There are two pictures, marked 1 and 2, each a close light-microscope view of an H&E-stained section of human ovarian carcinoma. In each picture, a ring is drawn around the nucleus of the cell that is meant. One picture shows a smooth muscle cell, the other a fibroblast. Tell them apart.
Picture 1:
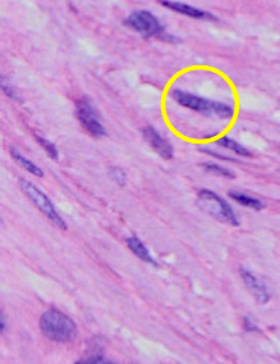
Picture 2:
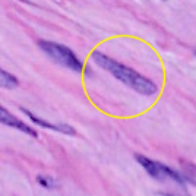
1: fibroblast
2: smooth muscle cell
